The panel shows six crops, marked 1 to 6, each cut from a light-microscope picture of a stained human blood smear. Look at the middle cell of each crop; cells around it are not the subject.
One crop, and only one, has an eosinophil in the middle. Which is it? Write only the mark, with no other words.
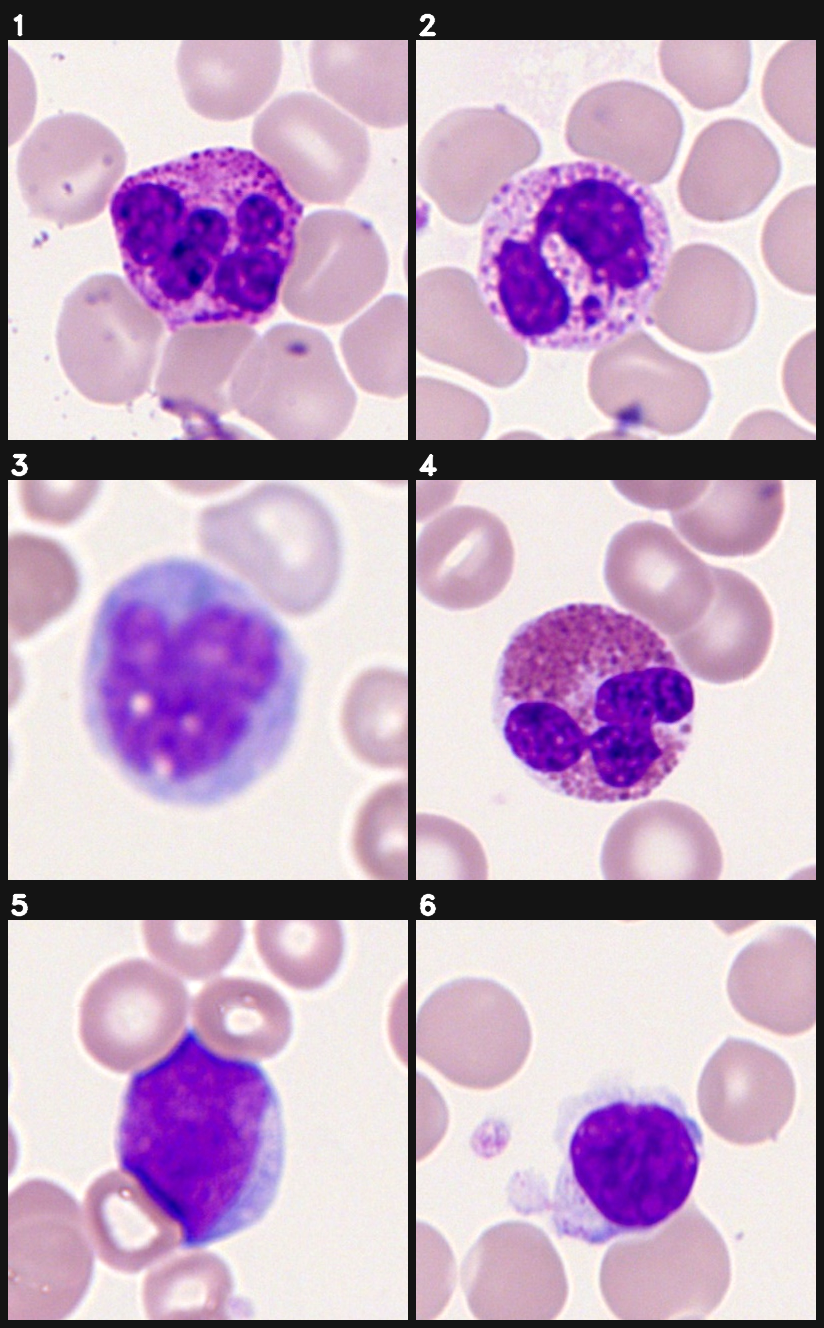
4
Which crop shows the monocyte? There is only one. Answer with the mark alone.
3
